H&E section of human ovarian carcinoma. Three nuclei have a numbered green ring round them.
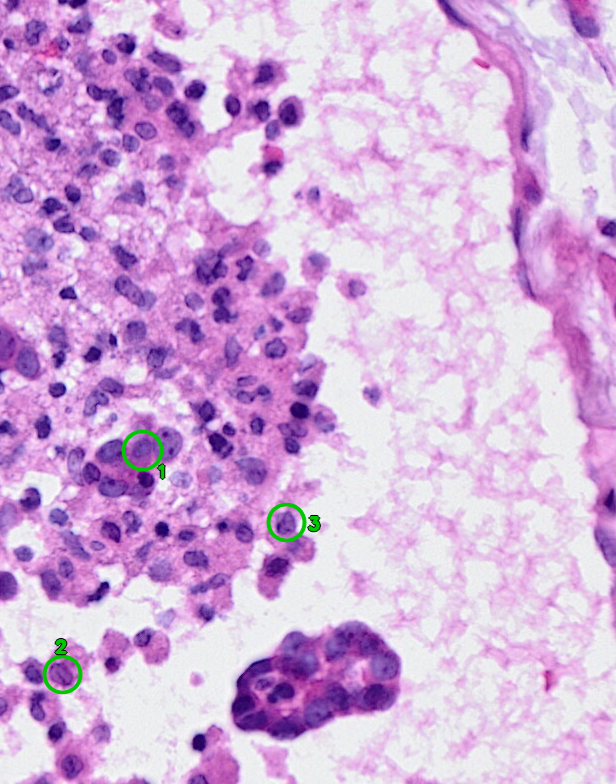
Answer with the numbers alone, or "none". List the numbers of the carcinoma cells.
1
